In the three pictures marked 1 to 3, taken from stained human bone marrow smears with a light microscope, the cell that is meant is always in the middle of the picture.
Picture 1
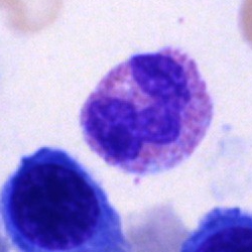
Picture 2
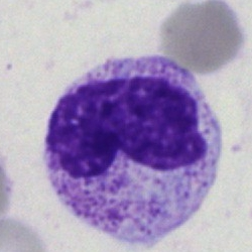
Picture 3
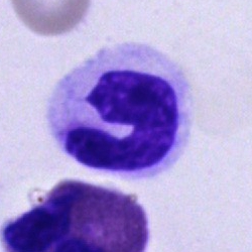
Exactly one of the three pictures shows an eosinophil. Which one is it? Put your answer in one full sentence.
The picture with the eosinophil is 1.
